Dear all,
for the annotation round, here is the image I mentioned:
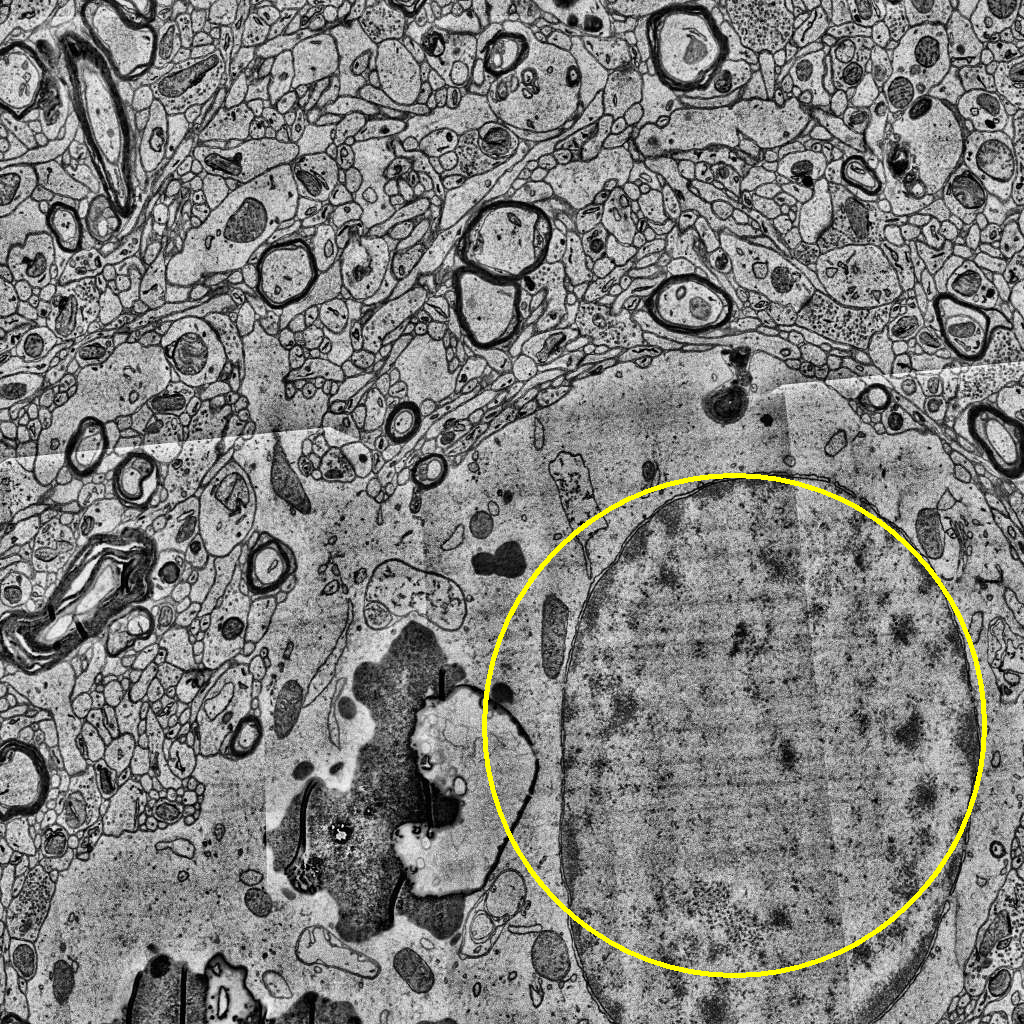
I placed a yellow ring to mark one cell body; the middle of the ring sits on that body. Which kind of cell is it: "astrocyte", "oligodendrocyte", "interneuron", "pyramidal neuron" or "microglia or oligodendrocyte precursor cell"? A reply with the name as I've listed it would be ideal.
astrocyte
